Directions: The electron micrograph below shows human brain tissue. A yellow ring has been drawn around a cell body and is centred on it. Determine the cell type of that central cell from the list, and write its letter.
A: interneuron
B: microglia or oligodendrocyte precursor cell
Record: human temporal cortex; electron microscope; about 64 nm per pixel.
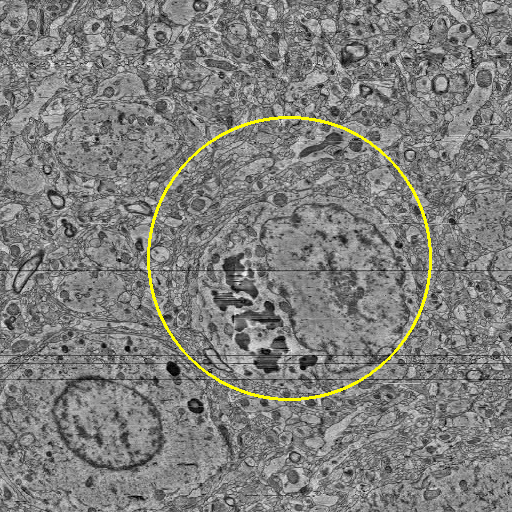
A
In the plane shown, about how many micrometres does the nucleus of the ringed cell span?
In this plane the nucleus measures roughly 12 by 9 micrometers.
